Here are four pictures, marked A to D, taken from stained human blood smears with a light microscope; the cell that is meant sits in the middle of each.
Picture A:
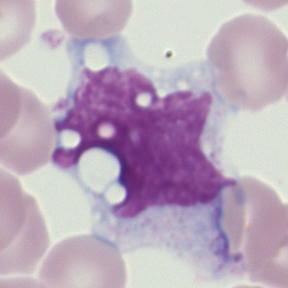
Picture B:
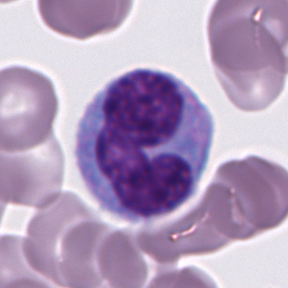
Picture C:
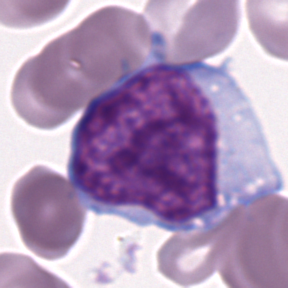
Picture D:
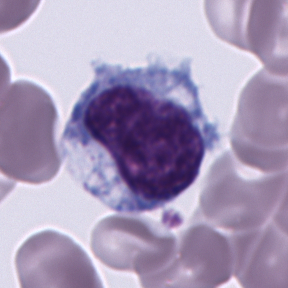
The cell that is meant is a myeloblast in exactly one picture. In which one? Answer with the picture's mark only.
C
